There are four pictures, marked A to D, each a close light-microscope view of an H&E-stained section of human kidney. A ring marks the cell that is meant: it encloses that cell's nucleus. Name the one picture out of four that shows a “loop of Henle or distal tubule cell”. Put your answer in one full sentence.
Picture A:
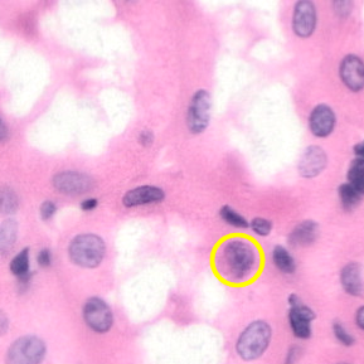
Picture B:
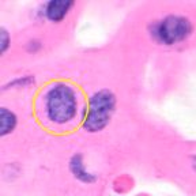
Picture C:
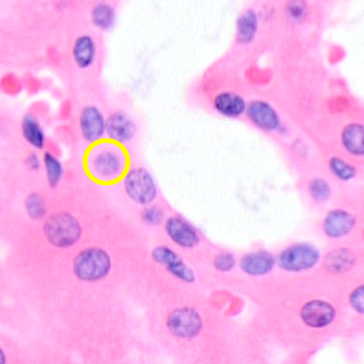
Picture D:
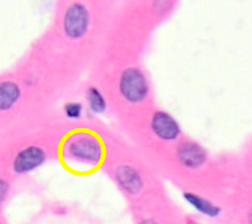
Picture D is the one that shows the “loop of Henle or distal tubule cell”.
